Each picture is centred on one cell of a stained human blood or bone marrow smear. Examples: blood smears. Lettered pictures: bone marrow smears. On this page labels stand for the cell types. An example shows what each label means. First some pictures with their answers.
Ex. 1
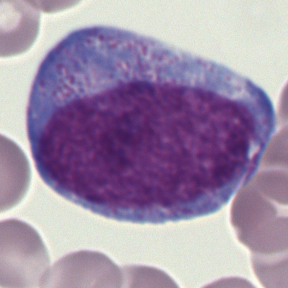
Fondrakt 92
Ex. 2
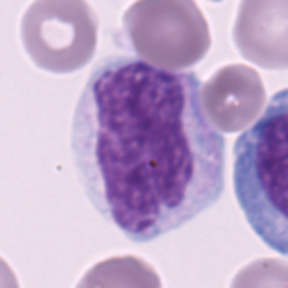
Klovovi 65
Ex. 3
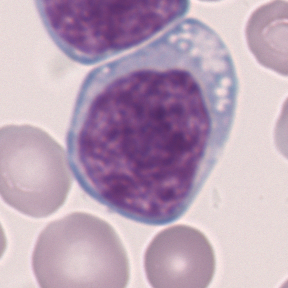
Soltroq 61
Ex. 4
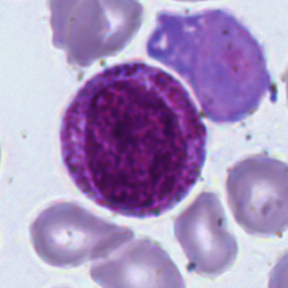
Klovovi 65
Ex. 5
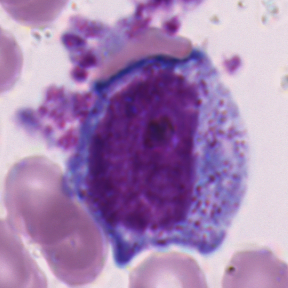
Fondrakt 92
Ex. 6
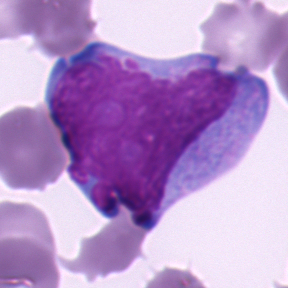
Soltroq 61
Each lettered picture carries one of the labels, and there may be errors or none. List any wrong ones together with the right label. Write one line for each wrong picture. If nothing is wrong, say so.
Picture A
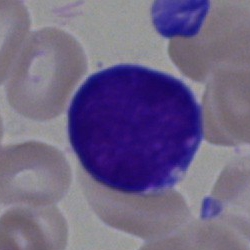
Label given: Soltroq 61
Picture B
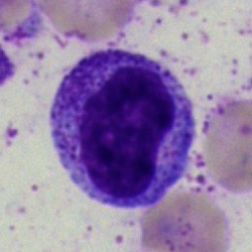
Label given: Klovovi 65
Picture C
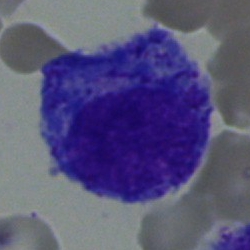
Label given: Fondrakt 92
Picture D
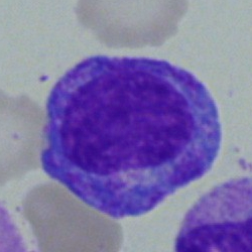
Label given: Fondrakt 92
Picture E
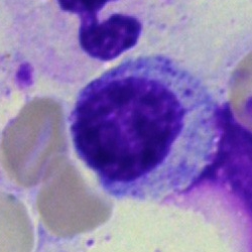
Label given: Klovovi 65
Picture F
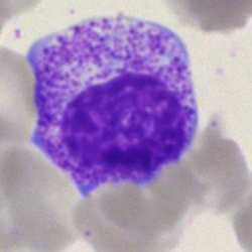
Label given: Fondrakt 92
F should be Klovovi 65, not Fondrakt 92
